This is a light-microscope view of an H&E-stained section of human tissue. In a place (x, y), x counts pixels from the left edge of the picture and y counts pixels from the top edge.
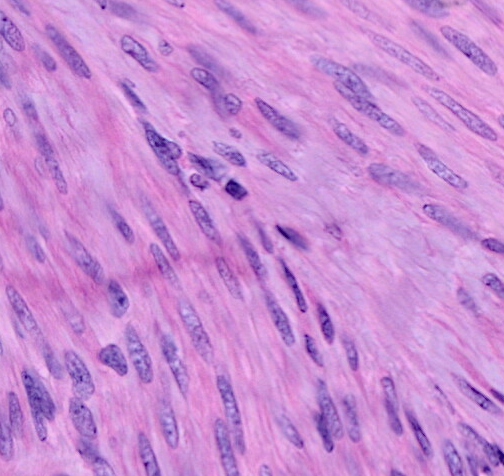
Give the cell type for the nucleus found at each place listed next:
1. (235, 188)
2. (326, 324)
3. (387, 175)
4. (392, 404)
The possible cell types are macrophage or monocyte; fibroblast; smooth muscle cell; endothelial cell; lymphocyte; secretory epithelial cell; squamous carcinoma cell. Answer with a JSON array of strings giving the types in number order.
["lymphocyte", "smooth muscle cell", "smooth muscle cell", "smooth muscle cell"]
